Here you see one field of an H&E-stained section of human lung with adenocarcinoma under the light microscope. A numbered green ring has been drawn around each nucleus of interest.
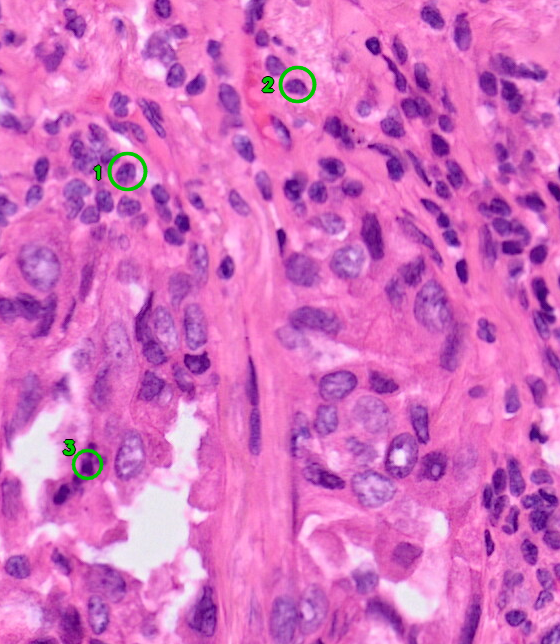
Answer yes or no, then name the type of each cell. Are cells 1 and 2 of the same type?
Yes, both are lymphocytes.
